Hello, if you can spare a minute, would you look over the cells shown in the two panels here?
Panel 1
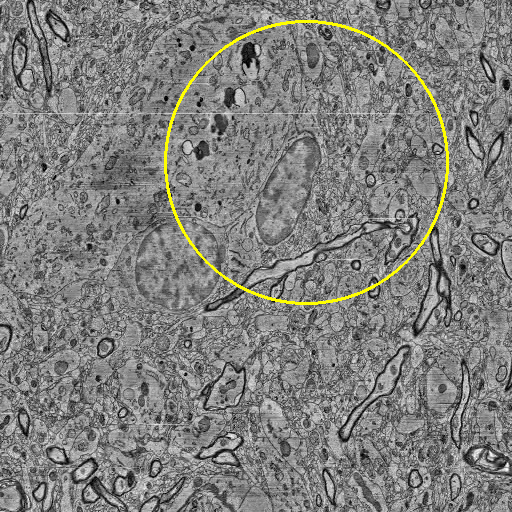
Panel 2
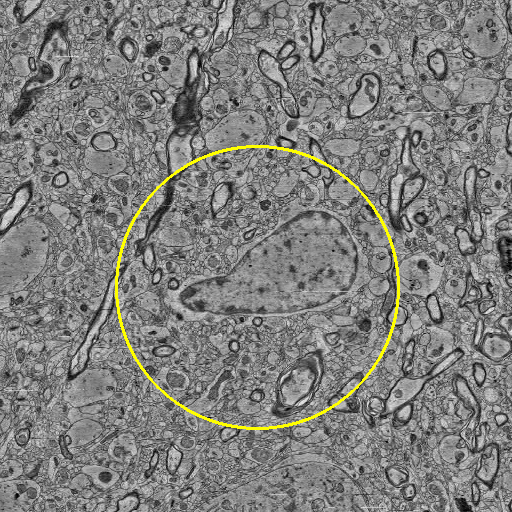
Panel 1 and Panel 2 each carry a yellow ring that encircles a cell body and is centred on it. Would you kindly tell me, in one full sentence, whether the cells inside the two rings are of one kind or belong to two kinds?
The cells at the centres of the rings in Panel 1 and Panel 2 are of one kind.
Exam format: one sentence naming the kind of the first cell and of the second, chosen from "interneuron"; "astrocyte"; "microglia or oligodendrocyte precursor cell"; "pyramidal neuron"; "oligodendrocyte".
Both rings mark a microglial cell or oligodendrocyte precursor cell, one in each picture.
